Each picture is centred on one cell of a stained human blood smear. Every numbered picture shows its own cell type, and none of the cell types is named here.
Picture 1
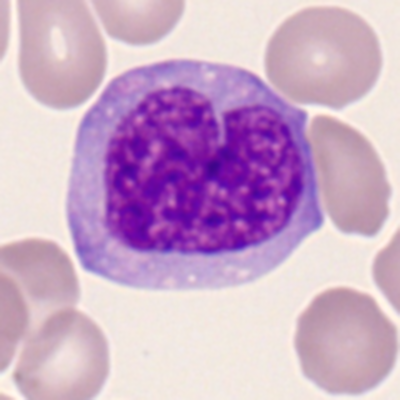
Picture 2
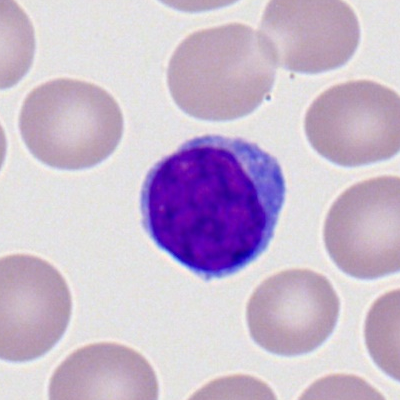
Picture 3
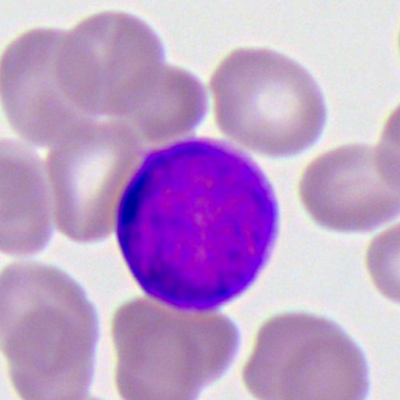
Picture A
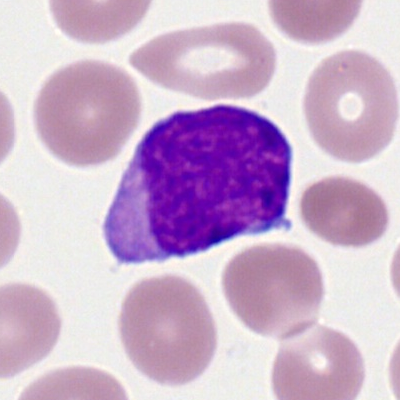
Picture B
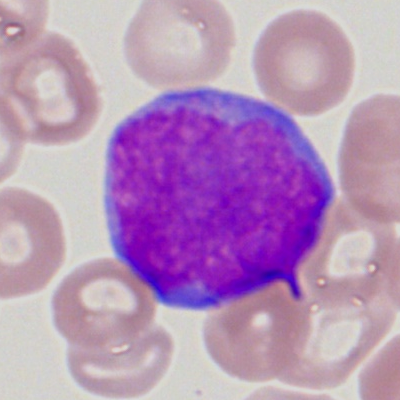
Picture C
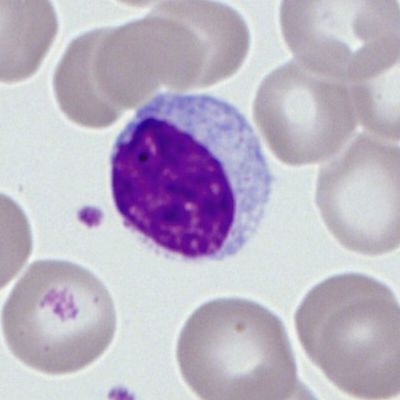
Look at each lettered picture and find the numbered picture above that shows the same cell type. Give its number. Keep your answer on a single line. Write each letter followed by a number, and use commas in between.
A 3, B 3, C 2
